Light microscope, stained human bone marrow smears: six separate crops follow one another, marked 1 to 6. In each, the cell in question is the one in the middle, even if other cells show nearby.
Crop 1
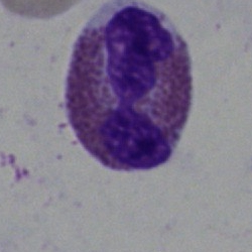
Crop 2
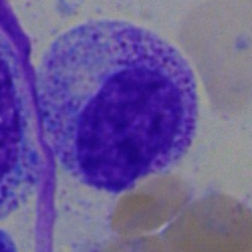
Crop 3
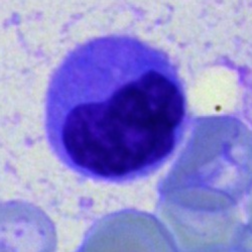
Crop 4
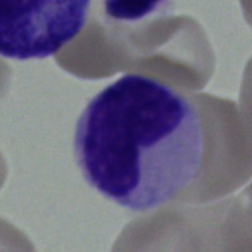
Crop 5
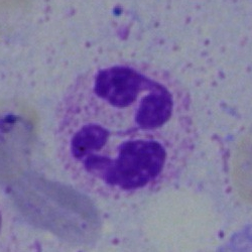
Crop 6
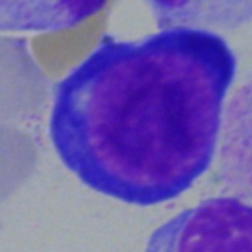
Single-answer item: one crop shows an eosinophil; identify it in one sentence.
Among the crops, only crop 1 contains an eosinophil.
